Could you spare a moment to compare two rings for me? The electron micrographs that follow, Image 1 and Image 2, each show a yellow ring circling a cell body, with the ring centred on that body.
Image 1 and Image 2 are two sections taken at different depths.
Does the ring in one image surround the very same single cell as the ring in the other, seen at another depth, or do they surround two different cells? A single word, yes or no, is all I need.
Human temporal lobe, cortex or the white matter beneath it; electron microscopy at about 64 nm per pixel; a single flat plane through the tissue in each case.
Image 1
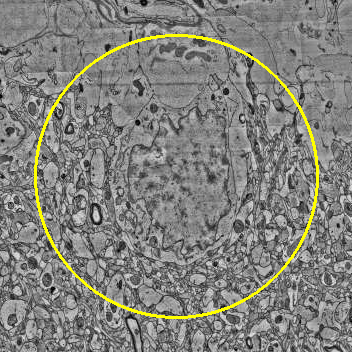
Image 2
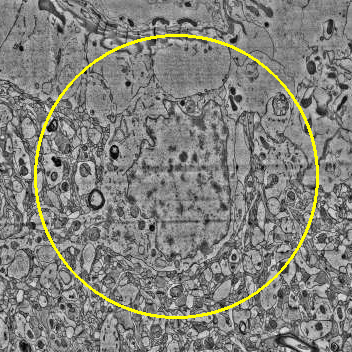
yes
